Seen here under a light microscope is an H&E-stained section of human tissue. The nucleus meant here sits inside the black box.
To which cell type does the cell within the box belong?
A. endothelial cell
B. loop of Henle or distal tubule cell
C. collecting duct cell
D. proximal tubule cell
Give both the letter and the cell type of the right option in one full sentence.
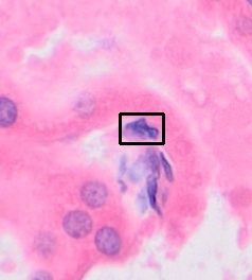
It is as option A has it, the cell within the box being an endothelial cell.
